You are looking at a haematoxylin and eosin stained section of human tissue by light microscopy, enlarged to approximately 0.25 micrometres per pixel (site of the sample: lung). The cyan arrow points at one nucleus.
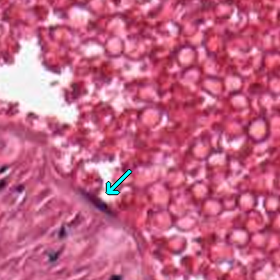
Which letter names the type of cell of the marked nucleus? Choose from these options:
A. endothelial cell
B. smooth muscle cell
A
